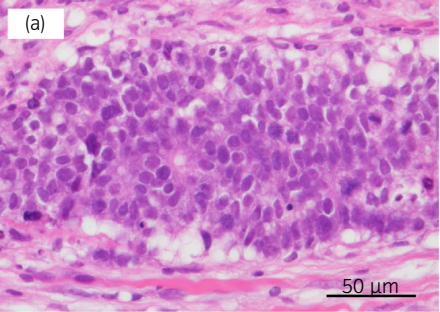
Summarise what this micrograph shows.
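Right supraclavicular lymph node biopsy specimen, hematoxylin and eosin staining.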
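A solid nest of crowded tumour cells lies within loose pink fibrous stroma. The cells have round to oval, hyperchromatic nuclei with scant cytoplasm, and they are tightly packed with some nuclear overlap. Scattered larger, darker nuclei show variation in size, and small clear spaces separate the nest from the surrounding stroma.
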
